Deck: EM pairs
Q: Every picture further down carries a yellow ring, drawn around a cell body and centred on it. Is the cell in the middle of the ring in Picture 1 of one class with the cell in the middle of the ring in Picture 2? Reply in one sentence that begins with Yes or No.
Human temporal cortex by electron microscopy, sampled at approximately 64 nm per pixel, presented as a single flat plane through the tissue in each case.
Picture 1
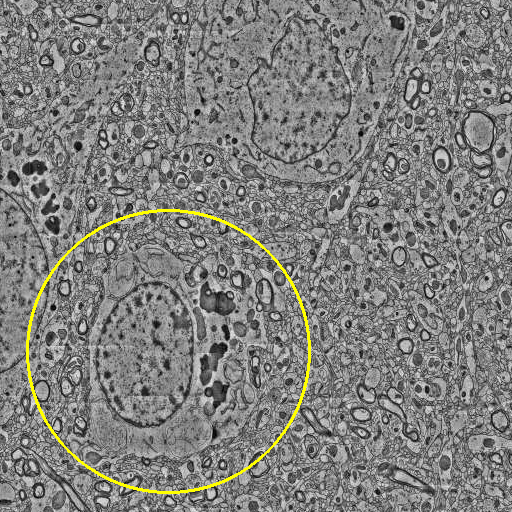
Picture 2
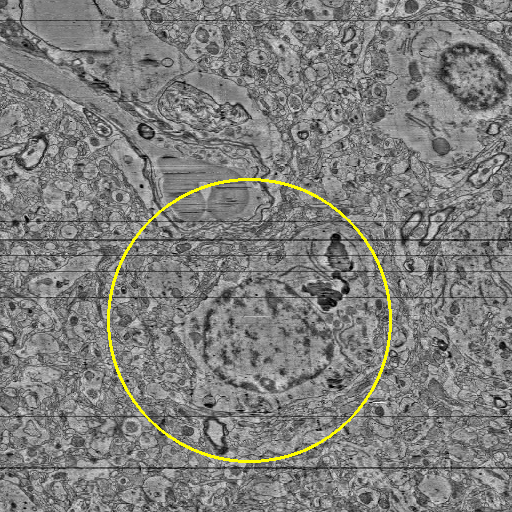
Yes, the cell centred in the ring of Picture 1 and the one in Picture 2 belong to one class.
